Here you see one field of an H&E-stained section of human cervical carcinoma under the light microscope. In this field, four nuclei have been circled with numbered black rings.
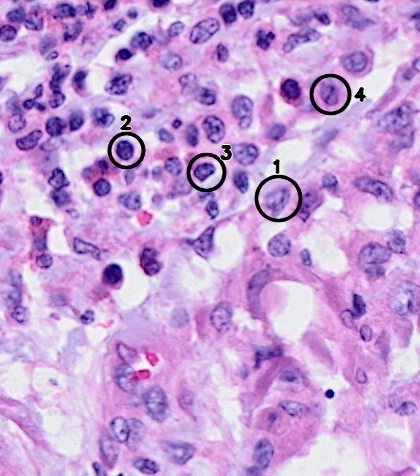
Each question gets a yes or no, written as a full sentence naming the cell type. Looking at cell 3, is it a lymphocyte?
Yes, the one numbered 3 is a lymphocyte.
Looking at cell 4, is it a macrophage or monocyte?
Yes, the marked cell number 4 is a macrophage or monocyte.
